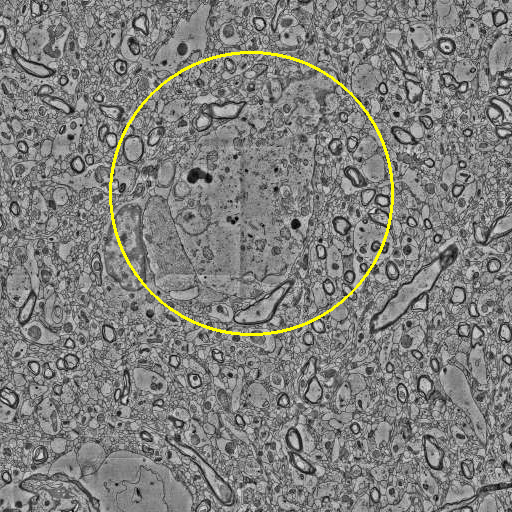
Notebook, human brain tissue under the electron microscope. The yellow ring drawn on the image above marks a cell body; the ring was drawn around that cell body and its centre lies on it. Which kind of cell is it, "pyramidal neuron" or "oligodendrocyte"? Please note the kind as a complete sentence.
The marked cell body is that of a pyramidal neuron.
